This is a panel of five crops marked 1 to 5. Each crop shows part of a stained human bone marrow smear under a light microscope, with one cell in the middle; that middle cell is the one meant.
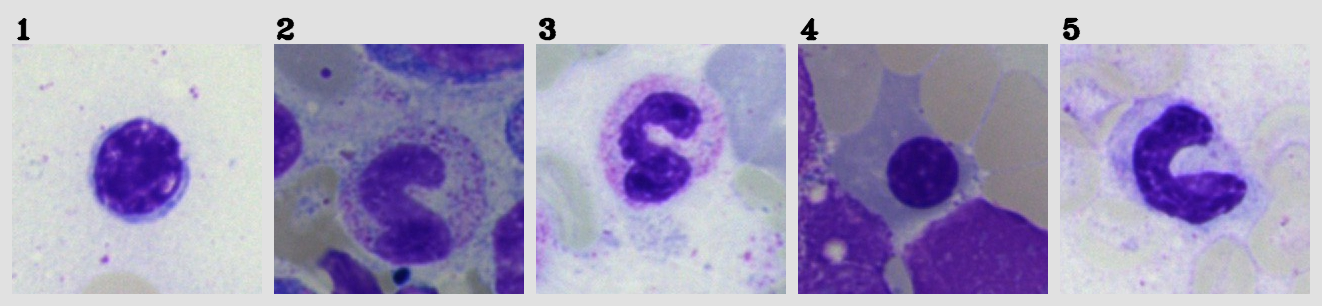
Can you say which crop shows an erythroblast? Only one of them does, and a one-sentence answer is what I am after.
That would be crop 4; it shows an erythroblast.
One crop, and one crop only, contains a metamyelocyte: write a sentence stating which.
The crop marked 2 is the one in which a metamyelocyte is shown.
